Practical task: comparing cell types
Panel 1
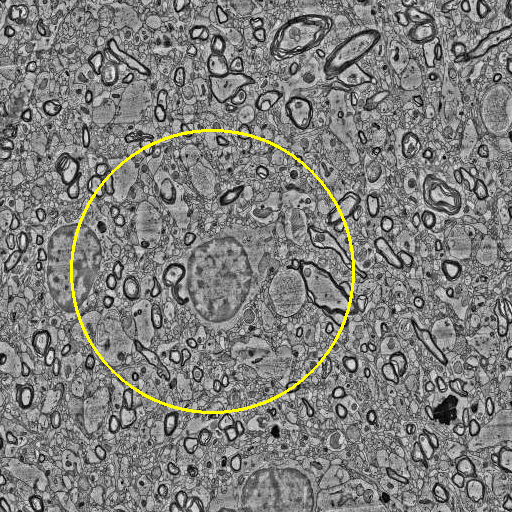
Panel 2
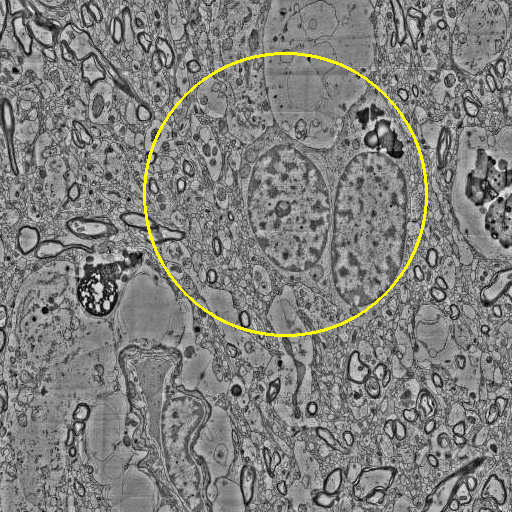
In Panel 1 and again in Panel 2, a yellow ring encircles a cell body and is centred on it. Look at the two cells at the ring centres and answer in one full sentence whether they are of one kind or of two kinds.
The two cells sitting at the ring centres of Panels 1 and 2 are of one kind.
